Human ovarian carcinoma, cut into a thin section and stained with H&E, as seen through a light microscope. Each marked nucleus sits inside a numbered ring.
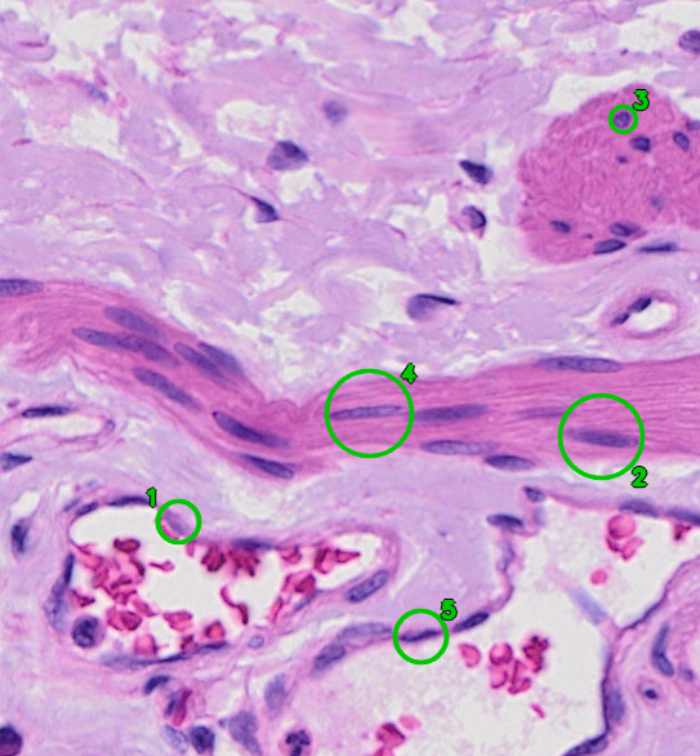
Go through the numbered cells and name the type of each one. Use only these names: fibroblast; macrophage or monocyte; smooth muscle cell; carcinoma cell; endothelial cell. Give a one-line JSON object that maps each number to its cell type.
{"1": "endothelial cell", "2": "smooth muscle cell", "3": "smooth muscle cell", "4": "smooth muscle cell", "5": "endothelial cell"}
